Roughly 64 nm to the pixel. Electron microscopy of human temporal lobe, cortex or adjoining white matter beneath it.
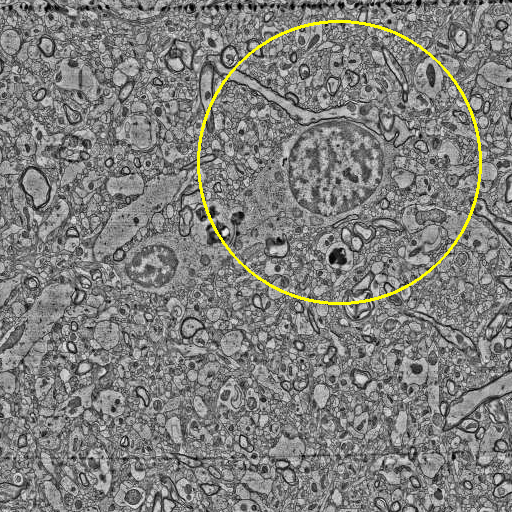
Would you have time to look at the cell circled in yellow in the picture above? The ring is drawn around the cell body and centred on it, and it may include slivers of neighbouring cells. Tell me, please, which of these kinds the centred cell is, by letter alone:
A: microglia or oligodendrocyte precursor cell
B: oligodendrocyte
B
